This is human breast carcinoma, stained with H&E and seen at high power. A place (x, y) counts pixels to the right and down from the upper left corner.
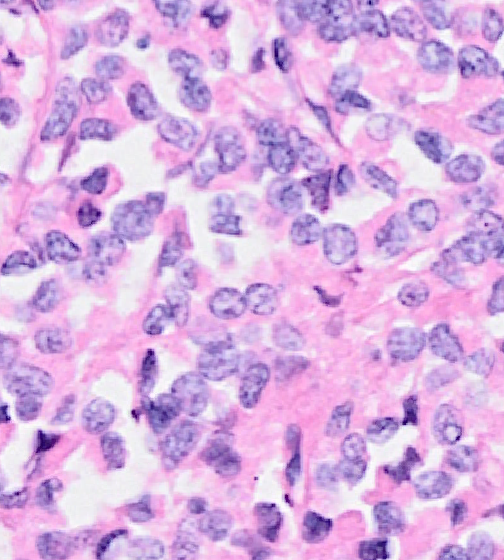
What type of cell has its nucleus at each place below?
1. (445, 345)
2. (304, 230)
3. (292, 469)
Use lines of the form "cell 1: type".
cell 1: carcinoma cell
cell 2: carcinoma cell
cell 3: endothelial cell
